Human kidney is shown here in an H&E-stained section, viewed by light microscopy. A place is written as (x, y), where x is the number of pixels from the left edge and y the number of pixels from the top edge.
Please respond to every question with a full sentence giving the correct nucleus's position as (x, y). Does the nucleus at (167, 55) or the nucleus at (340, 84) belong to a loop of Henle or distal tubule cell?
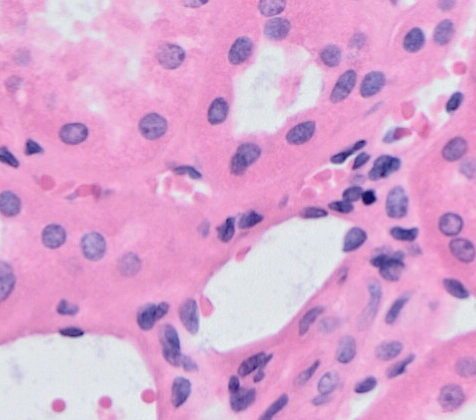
It is the nucleus at (340, 84) that forms part of a loop of Henle or distal tubule cell.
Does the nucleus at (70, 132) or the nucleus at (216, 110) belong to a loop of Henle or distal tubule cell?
The pair contains one nucleus of a loop of Henle or distal tubule cell, namely the one at (216, 110).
